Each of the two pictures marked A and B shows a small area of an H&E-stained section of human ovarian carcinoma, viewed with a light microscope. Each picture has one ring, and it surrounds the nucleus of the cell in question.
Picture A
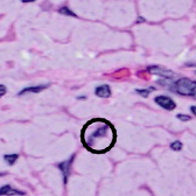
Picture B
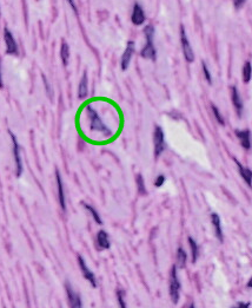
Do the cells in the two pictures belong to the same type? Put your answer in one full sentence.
Yes, both are fibroblasts.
